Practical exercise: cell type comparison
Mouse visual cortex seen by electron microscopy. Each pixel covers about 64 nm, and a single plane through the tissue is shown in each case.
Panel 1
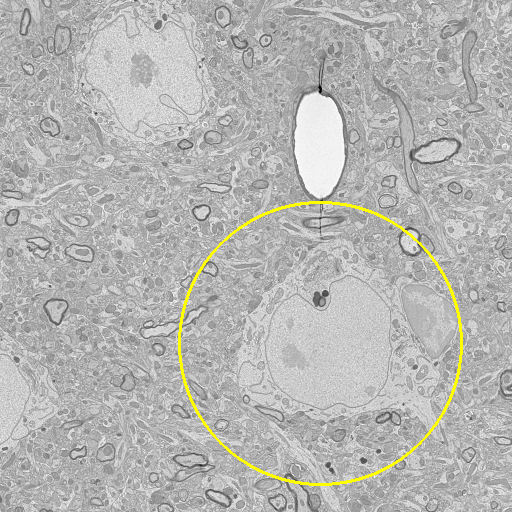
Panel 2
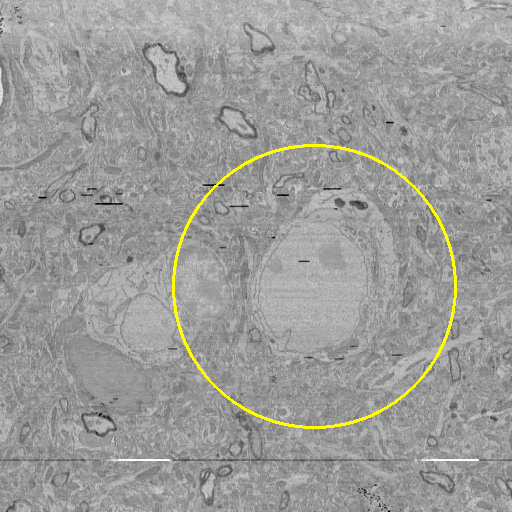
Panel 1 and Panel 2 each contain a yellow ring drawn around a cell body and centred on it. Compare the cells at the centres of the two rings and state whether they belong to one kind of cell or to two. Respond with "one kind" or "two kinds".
one kind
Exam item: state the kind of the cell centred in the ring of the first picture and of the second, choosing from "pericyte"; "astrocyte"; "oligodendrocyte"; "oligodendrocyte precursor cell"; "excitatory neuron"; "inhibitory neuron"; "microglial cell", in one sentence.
Both rings mark an excitatory neuron, one in each picture.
